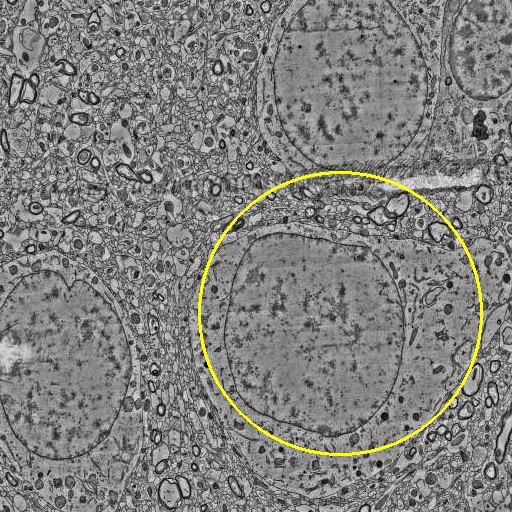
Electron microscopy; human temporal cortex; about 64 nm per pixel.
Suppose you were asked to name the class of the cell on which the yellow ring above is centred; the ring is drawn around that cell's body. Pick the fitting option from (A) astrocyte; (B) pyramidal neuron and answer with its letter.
B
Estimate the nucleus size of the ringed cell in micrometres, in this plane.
In this plane, approximately 13 micrometres across.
